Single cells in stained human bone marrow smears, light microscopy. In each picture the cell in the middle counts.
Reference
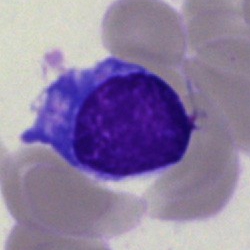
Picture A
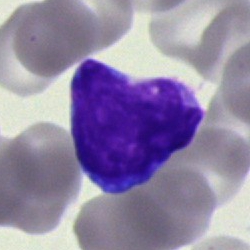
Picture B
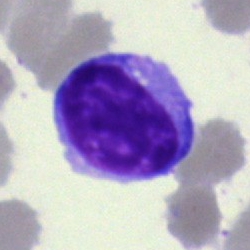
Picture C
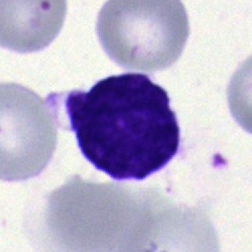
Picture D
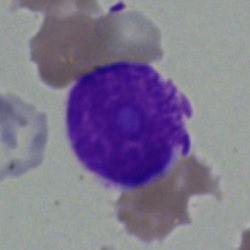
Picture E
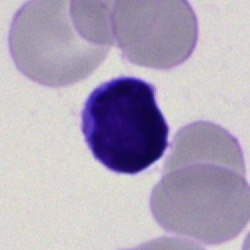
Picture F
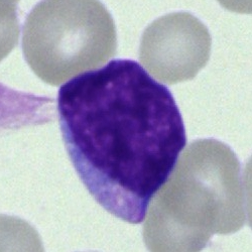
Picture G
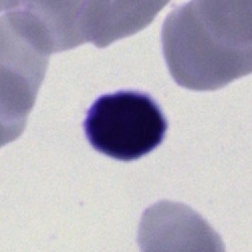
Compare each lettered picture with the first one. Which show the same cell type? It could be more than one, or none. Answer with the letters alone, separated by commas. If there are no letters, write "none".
B, C, E, G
